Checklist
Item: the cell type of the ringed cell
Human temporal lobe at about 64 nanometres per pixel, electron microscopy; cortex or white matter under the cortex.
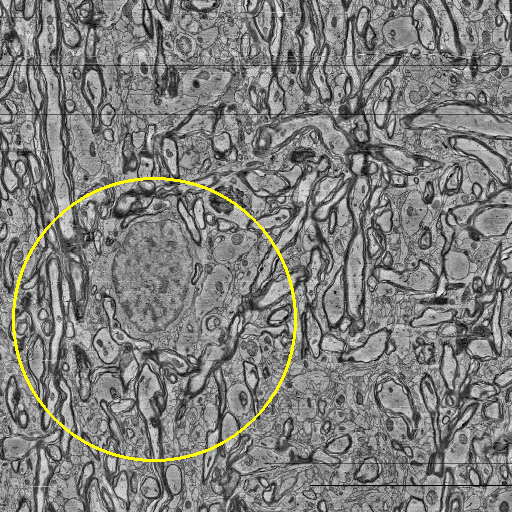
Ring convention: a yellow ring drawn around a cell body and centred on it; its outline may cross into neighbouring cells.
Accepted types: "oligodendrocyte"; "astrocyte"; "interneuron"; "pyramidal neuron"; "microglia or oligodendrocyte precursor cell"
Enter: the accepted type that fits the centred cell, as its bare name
oligodendrocyte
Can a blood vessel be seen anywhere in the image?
No.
